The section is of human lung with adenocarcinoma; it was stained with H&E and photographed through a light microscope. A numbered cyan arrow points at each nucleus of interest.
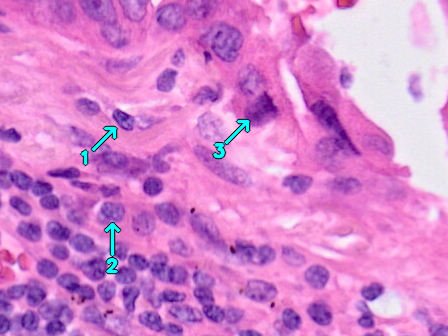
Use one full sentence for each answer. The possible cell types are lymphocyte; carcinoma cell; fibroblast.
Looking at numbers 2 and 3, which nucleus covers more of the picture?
Nucleus 3 is the larger one, covering about 1.5 times the area of nucleus 2.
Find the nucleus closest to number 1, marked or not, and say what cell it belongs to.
Number 1 lies closest to the nucleus of a fibroblast.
